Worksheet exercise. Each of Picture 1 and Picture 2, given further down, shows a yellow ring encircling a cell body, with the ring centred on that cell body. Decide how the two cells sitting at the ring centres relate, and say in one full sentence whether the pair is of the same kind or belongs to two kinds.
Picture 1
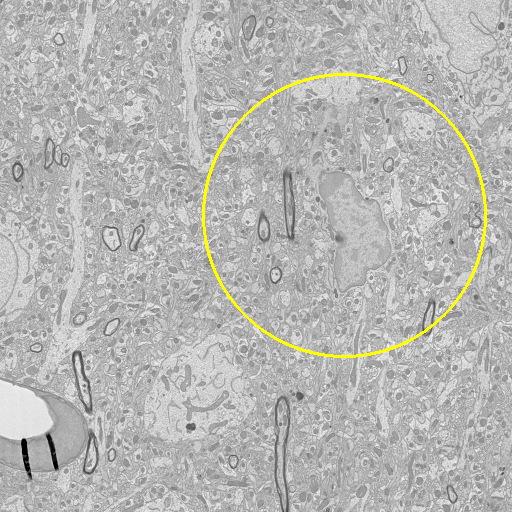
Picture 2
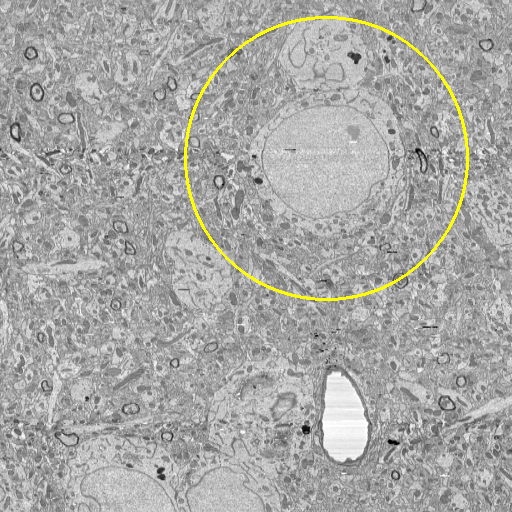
The cells at the ring centres in Picture 1 and Picture 2 belong to two kinds.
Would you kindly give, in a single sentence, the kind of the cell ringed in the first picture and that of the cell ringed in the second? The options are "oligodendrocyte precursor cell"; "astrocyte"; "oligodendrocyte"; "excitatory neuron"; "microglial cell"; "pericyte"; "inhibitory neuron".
The second cell is an excitatory neuron, and the first cell is a microglial cell.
